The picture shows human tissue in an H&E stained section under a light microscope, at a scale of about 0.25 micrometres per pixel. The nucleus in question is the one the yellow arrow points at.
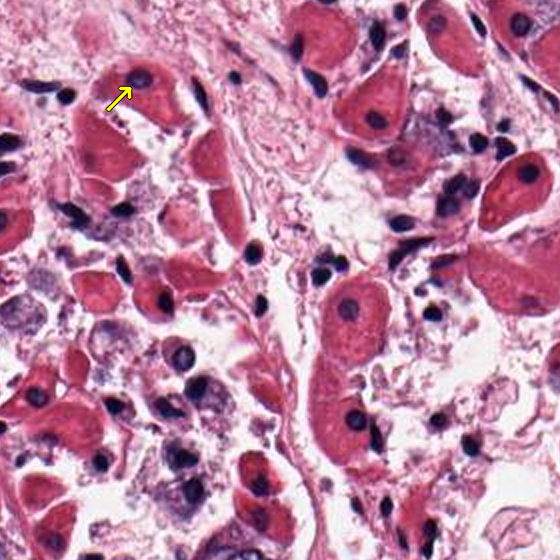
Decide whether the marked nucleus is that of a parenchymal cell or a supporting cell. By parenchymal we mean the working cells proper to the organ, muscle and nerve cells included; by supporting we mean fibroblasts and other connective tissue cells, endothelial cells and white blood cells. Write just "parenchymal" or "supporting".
parenchymal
